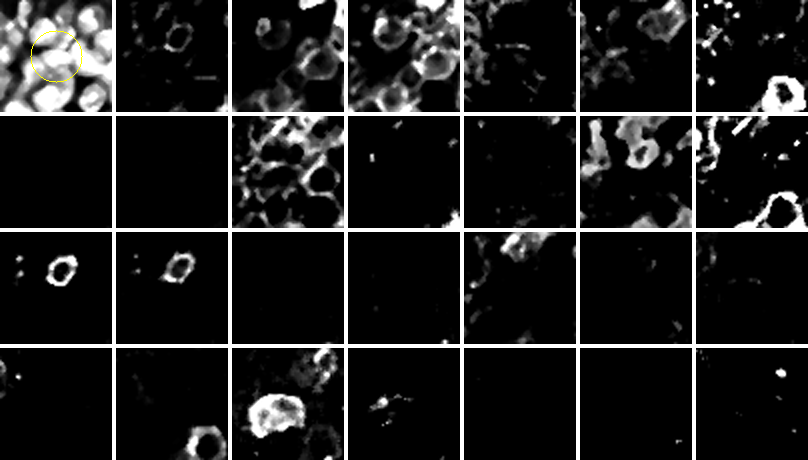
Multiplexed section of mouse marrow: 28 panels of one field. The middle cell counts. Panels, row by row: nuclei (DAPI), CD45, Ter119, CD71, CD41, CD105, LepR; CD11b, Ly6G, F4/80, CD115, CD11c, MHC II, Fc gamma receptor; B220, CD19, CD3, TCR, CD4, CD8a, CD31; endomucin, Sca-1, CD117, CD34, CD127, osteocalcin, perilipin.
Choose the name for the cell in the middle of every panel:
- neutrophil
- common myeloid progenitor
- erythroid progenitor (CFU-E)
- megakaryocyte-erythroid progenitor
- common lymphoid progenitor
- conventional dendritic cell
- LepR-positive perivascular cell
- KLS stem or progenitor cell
erythroid progenitor (CFU-E)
